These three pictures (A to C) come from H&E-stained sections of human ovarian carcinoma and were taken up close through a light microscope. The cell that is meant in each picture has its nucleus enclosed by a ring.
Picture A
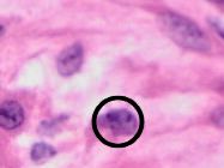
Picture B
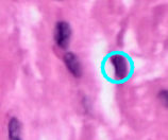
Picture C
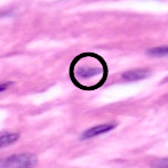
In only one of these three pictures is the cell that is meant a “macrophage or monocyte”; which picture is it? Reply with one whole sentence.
The cell in picture A is the “macrophage or monocyte”.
